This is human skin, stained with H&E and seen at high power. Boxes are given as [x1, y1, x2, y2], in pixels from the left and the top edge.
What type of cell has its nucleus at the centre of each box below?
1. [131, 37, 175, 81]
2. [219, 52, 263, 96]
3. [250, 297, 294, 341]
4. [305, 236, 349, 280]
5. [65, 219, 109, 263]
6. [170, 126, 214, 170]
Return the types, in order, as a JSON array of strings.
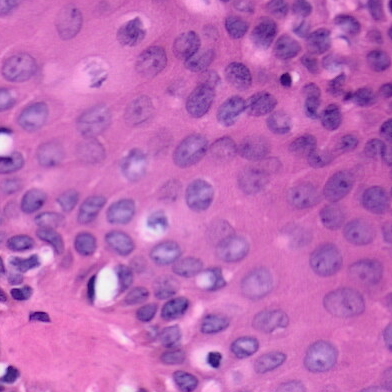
["suprabasal keratinocyte", "basal keratinocyte", "suprabasal keratinocyte", "suprabasal keratinocyte", "basal keratinocyte", "suprabasal keratinocyte"]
